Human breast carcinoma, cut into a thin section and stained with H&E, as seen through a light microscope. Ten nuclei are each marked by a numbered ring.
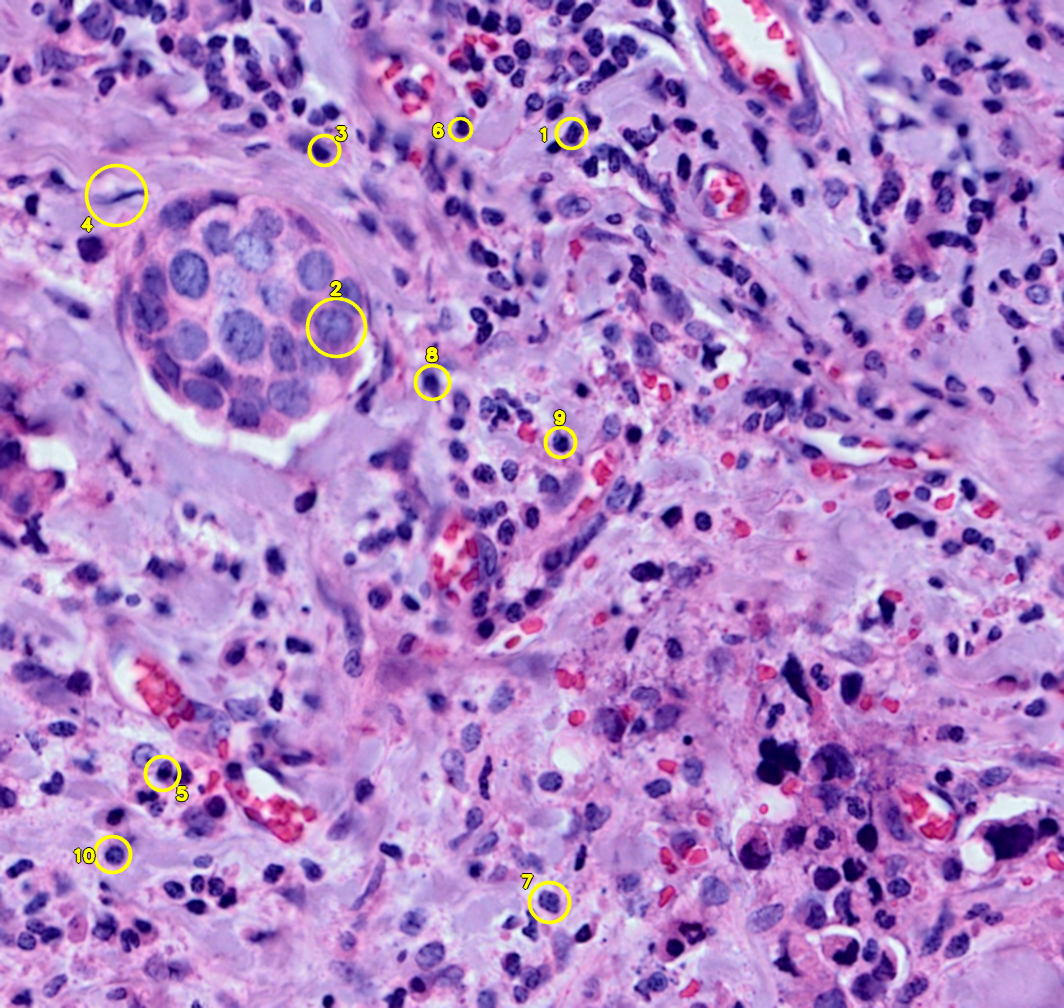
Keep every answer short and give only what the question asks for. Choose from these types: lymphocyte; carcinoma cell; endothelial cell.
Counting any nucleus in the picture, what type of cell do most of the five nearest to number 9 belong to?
endothelial cell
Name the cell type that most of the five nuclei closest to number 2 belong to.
carcinoma cell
